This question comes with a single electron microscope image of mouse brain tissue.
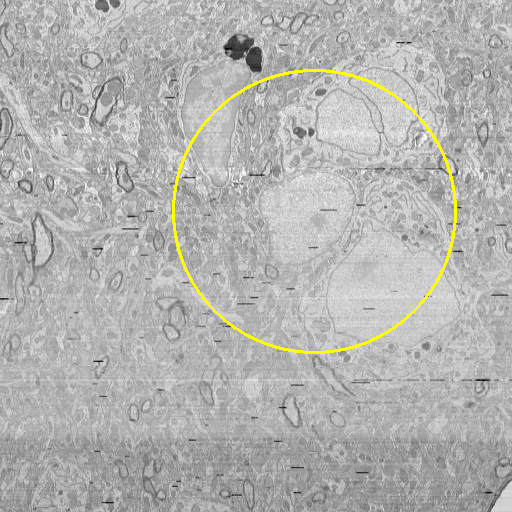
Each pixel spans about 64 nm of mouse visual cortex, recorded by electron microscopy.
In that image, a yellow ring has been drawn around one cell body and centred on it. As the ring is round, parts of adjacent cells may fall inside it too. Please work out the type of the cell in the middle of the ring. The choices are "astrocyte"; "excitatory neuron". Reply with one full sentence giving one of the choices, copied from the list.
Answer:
Of the choices, an astrocyte is the cell sitting in the middle of the ring.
